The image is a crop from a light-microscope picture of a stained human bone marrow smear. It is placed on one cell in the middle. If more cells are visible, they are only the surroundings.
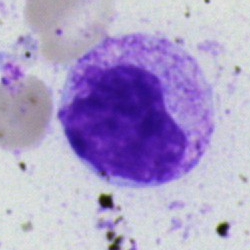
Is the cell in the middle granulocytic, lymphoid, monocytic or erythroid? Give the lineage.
granulocytic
